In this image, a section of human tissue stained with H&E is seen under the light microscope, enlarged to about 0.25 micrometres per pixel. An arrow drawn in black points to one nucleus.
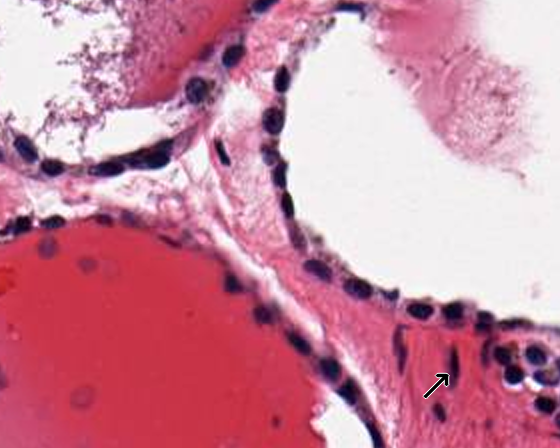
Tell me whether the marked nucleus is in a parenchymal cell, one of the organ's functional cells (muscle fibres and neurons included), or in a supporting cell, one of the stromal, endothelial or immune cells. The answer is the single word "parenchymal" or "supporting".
supporting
